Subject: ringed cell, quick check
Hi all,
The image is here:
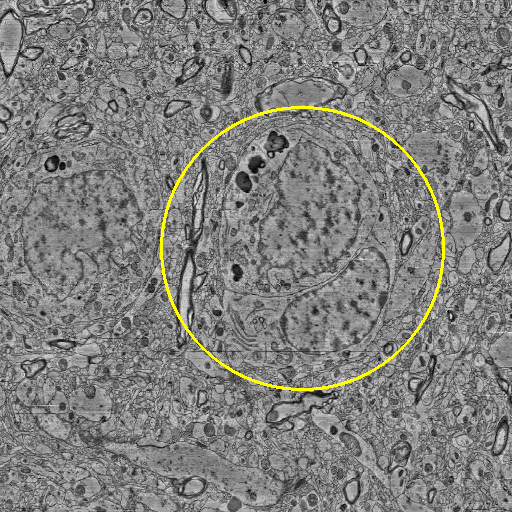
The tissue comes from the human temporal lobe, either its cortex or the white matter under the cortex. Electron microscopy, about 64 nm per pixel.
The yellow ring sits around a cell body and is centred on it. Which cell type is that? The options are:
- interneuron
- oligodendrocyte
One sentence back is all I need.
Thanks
That ringed cell is an interneuron.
